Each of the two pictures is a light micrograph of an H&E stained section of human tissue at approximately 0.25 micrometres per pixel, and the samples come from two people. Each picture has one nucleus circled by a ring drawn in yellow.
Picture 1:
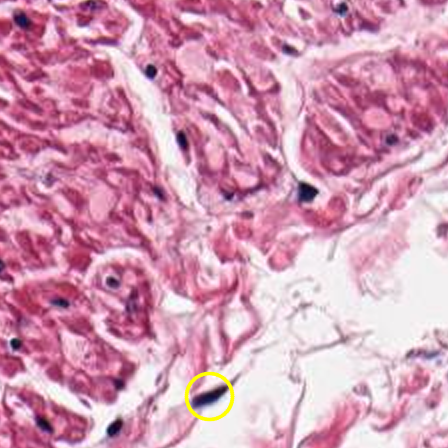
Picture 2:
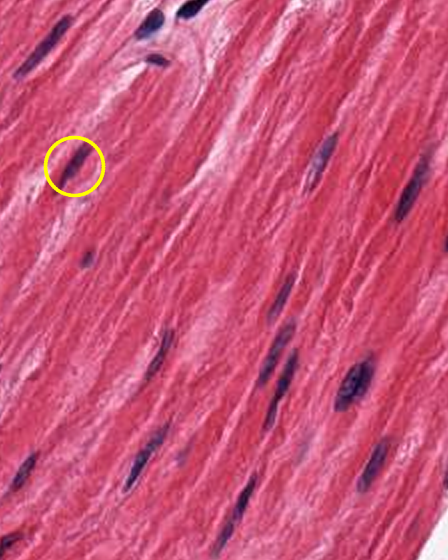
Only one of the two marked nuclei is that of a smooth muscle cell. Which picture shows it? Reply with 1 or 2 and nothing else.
2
